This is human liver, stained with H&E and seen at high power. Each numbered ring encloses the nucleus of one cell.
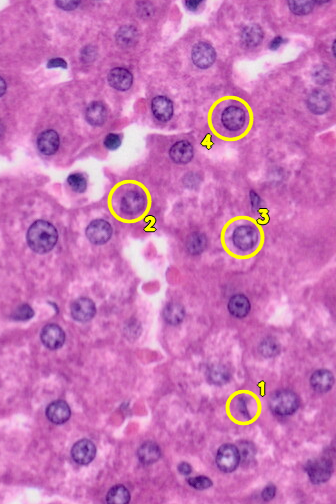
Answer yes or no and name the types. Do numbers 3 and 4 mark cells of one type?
Yes, cells 3 and 4 have the same identity; both are hepatocytes.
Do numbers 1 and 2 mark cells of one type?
No, an endothelial cell is what cell 1 is, and a hepatocyte is what cell 2 is.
